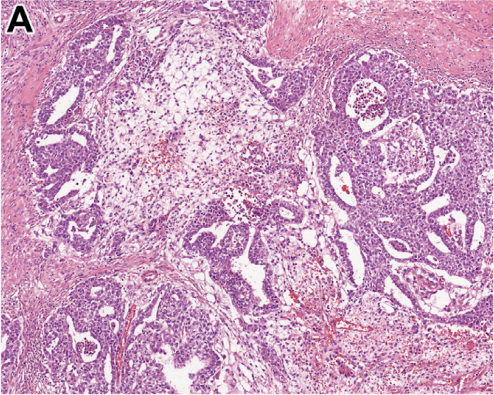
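Part of the tumor forms solid nests and gland-like, slit-like spaces lined by large, crowded, pleomorphic cells with dark, overlapping nuclei and scant cytoplasm. Other areas are paler and looser, forming a network of small cysts and spaces lined by flattened to cuboidal cells with clear or lightly eosinophilic cytoplasm. Strands of pink collagenous stroma separate the nests, and small vessels with red blood cells are scattered through the paler areas.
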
